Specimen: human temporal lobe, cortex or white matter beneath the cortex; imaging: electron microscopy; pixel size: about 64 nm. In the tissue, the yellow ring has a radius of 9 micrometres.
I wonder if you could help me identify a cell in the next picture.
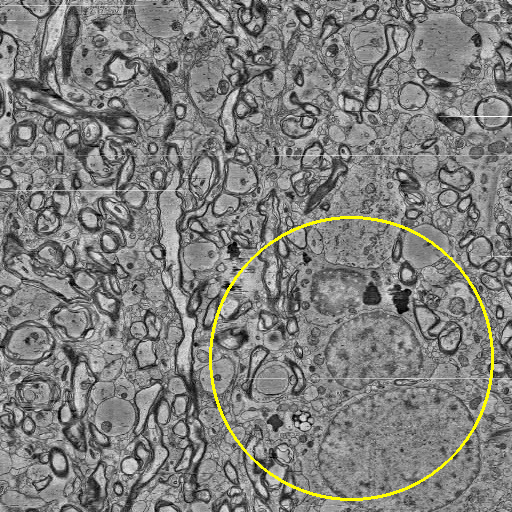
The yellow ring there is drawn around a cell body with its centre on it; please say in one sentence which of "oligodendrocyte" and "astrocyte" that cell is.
The yellow ring is centred on an oligodendrocyte.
